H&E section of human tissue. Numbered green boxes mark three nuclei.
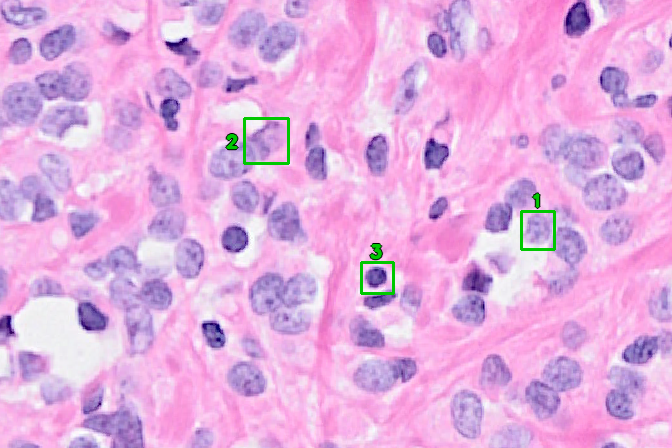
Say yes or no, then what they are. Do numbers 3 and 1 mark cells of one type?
No, cell 3 is a lymphocyte and cell 1 is a carcinoma cell.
